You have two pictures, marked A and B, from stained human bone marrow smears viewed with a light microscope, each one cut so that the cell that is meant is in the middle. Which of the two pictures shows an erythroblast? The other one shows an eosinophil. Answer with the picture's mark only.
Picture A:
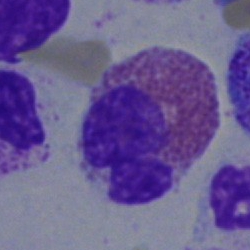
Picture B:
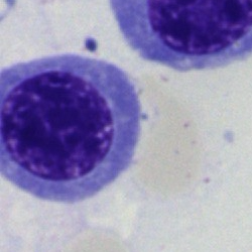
B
